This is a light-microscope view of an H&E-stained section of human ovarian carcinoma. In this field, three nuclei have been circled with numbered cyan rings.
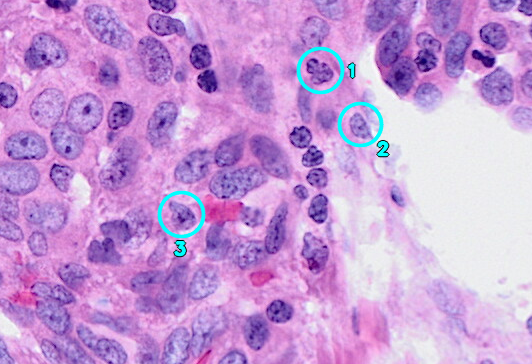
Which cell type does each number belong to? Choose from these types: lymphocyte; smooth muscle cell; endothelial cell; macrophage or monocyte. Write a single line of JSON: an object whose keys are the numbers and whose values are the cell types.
{"1": "lymphocyte", "2": "macrophage or monocyte", "3": "macrophage or monocyte"}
